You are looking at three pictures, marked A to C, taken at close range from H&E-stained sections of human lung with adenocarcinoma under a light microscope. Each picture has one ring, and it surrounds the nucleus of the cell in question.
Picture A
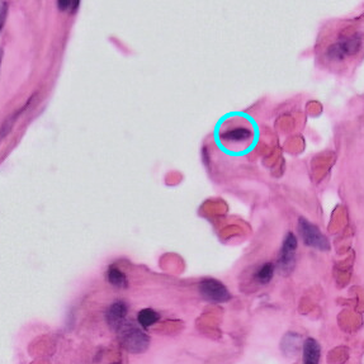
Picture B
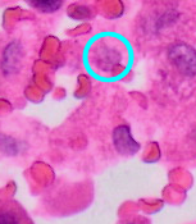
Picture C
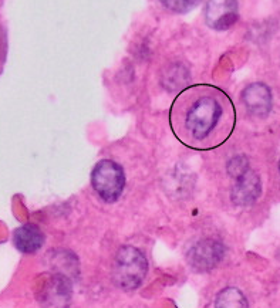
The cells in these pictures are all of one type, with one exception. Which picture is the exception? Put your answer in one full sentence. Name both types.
The others show “macrophages or monocytes”, but picture A shows an endothelial cell.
